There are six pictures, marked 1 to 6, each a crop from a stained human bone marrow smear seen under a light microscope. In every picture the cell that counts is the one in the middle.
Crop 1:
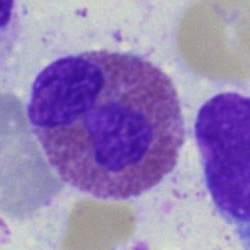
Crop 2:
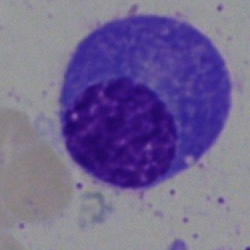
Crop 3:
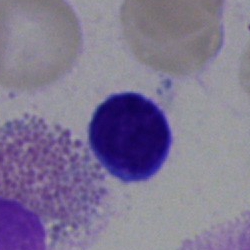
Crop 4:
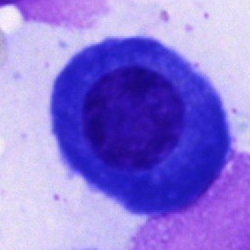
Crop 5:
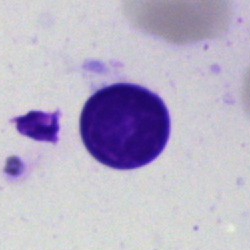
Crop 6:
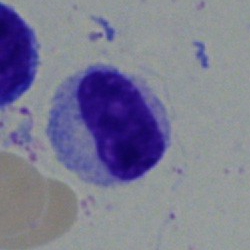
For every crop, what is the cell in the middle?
1: eosinophil
2: plasma cell
3: lymphocyte
4: plasma cell
5: lymphocyte
6: metamyelocyte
